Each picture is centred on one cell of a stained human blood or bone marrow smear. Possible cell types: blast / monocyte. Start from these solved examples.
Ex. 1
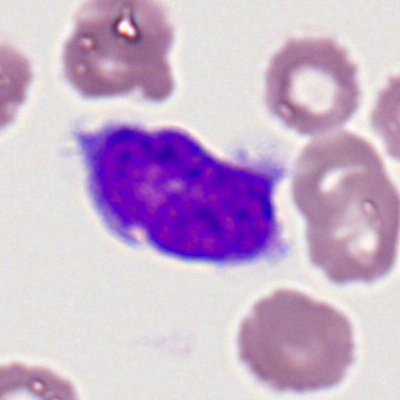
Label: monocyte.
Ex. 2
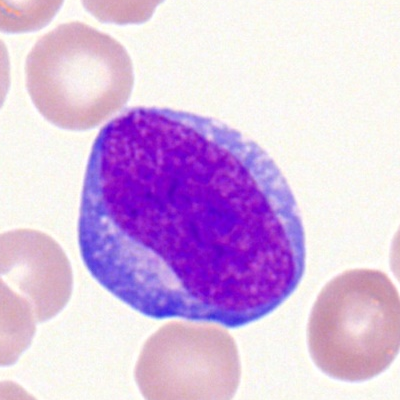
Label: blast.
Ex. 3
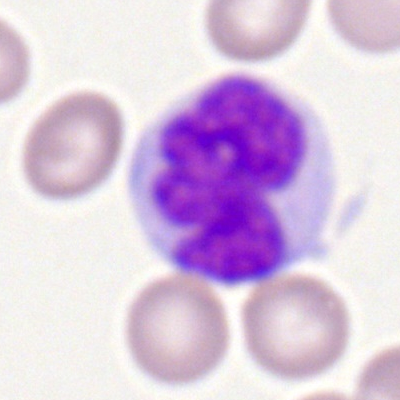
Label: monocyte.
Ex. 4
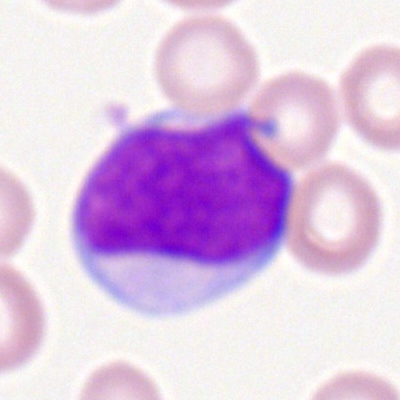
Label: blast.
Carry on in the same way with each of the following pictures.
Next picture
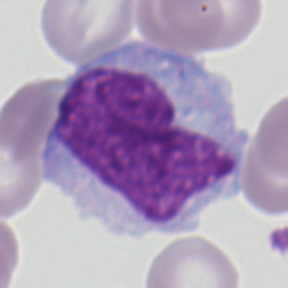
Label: monocyte.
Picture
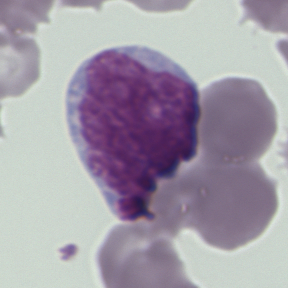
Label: blast.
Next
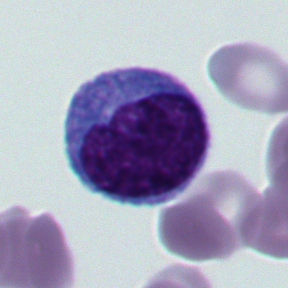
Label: monocyte.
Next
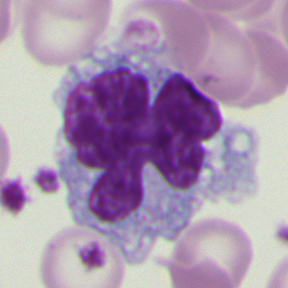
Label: monocyte.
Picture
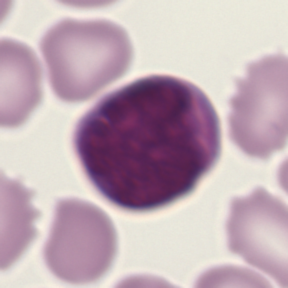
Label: blast.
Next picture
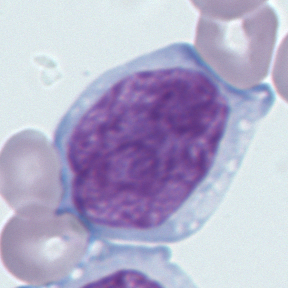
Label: blast.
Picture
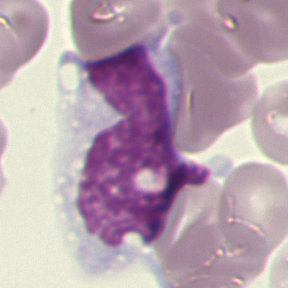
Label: monocyte.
